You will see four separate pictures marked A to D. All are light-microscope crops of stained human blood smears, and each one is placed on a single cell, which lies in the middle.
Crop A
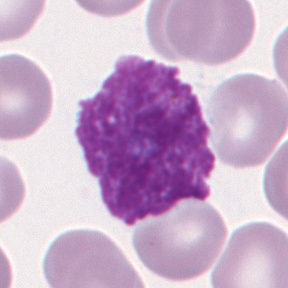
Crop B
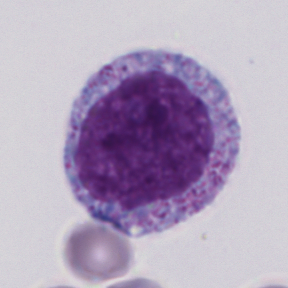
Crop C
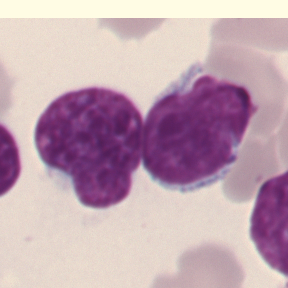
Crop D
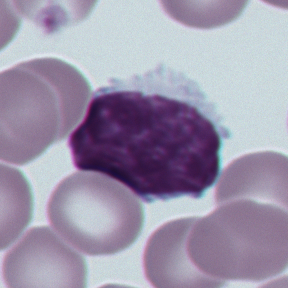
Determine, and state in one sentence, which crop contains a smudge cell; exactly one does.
Crop A, and no other, is the one that shows a smudge cell.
